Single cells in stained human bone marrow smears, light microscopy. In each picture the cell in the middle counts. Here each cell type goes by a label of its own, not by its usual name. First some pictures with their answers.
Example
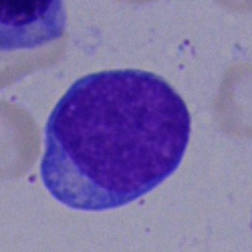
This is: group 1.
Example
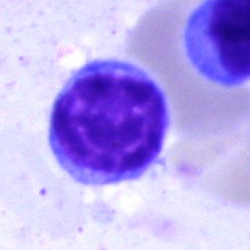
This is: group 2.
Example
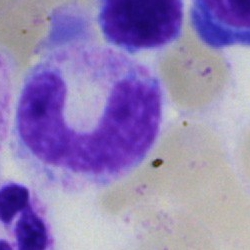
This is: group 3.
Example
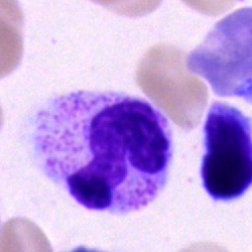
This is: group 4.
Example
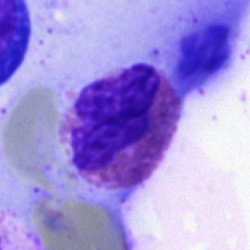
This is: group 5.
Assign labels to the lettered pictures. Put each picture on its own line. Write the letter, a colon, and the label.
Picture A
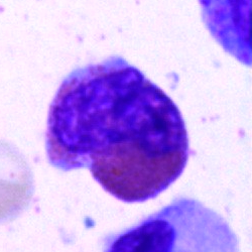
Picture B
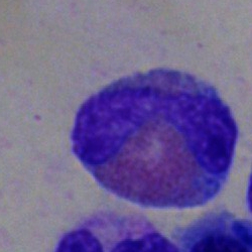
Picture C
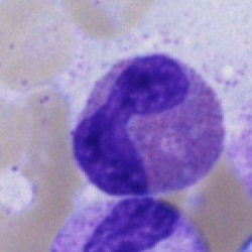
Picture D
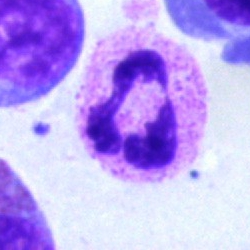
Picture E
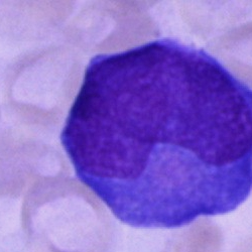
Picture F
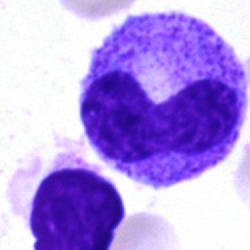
A: group 5.
B: group 5.
C: group 5.
D: group 4.
E: group 1.
F: group 3.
